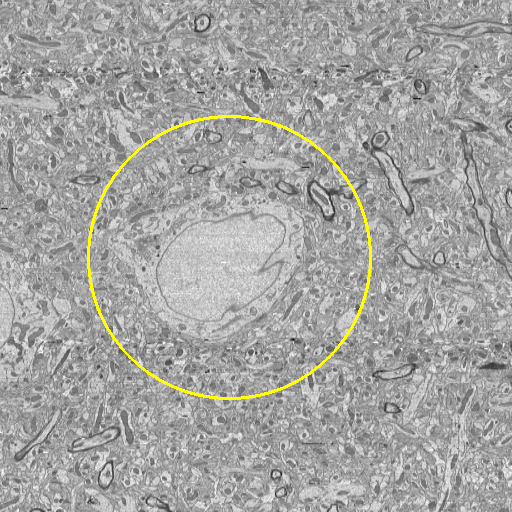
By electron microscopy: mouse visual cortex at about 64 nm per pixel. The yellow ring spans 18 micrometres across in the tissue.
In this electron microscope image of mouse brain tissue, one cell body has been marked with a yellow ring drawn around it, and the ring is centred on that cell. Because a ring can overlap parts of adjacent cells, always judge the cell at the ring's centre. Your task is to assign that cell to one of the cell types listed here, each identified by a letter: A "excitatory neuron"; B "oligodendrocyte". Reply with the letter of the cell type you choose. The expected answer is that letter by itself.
A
